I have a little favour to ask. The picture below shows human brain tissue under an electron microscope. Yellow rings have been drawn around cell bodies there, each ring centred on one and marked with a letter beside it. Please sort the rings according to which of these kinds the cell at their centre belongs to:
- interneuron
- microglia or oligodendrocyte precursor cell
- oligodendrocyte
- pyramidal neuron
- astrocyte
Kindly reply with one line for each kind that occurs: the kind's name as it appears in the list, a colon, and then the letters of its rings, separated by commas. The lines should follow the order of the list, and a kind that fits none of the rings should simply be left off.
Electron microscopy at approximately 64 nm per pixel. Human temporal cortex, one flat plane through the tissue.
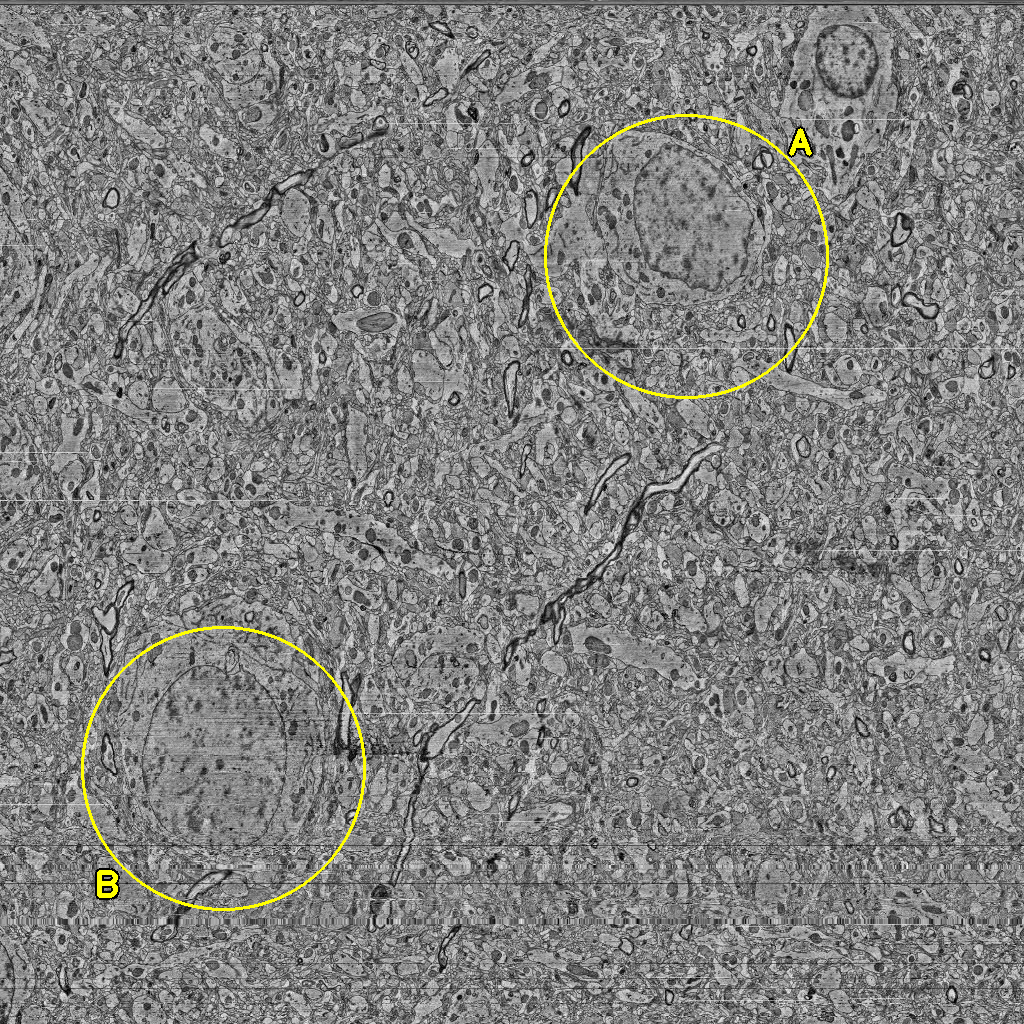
interneuron: A
pyramidal neuron: B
